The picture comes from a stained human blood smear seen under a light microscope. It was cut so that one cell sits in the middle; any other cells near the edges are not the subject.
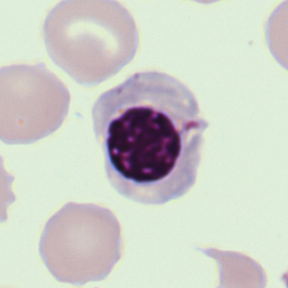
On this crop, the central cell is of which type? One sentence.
The middle cell in this particular crop is a normoblast.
